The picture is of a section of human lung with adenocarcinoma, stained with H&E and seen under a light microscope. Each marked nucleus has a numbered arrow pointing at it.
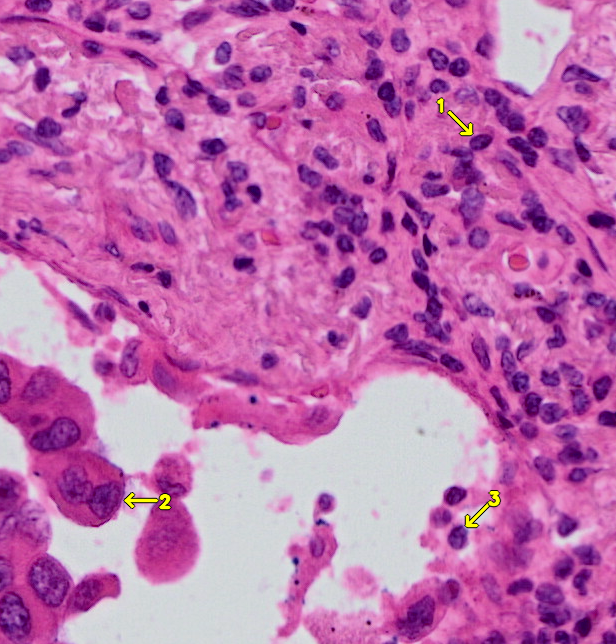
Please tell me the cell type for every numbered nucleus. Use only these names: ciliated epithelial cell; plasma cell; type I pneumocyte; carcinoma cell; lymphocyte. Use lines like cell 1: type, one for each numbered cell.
cell 1: plasma cell
cell 2: carcinoma cell
cell 3: lymphocyte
